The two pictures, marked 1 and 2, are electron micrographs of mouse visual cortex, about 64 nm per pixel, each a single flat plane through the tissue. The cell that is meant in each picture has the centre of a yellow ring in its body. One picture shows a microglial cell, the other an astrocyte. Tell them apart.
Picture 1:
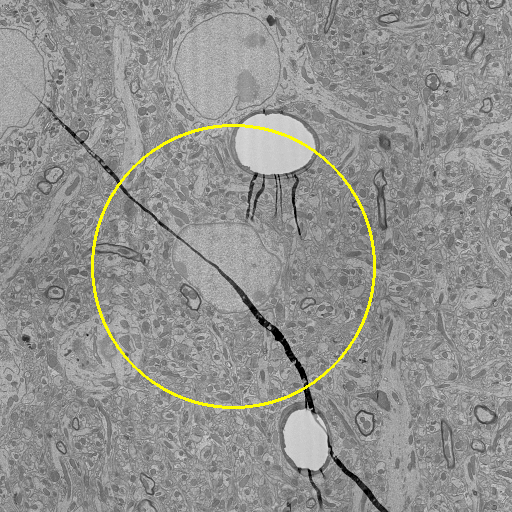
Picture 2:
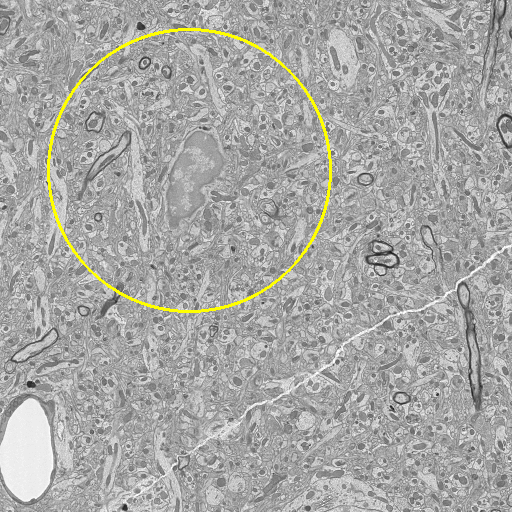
The cell in picture 1 is an astrocyte, and the one in picture 2 is a microglial cell.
